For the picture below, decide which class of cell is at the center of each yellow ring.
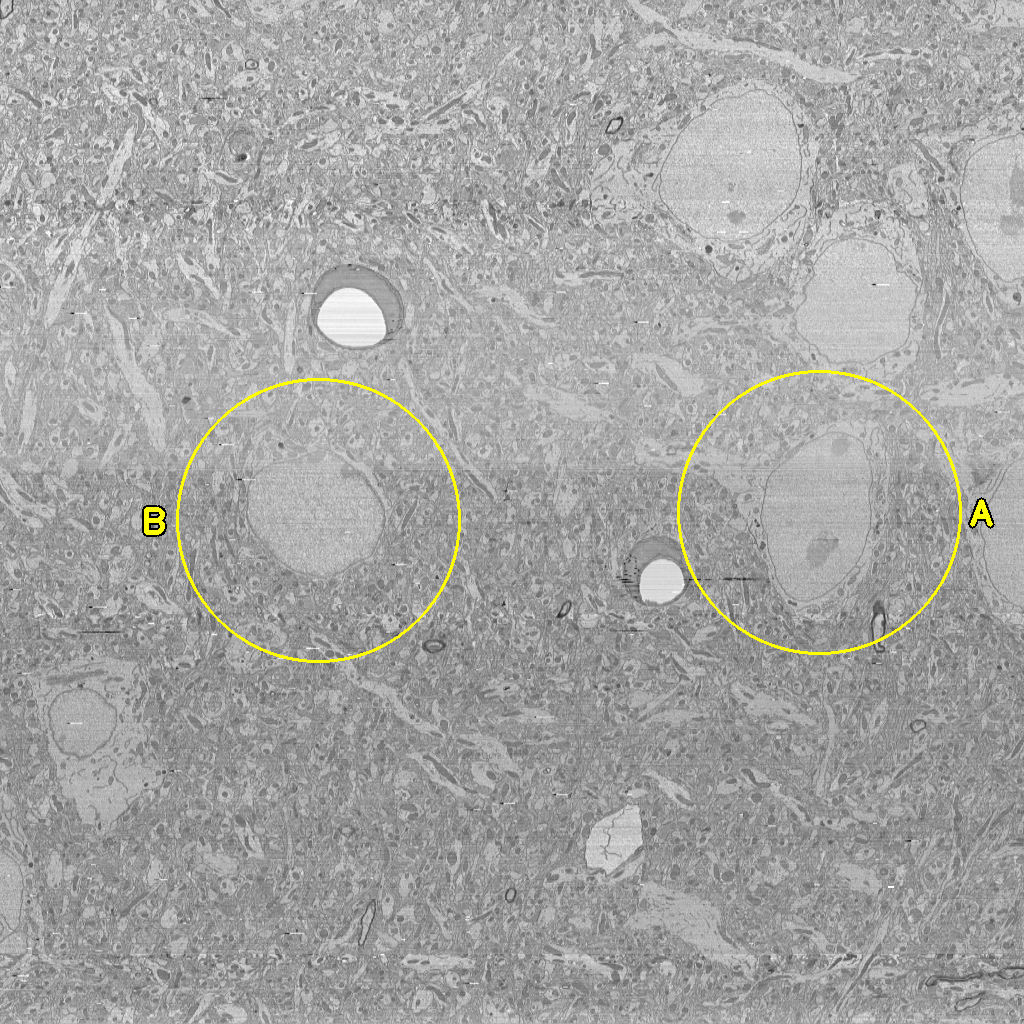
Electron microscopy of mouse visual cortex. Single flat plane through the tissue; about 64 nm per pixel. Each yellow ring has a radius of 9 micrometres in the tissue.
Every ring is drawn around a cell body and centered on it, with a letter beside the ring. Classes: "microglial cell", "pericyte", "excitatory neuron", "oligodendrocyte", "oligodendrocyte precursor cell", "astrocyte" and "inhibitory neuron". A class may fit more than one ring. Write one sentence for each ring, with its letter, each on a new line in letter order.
Centered in ring A is an excitatory neuron.
Centered in ring B is an astrocyte.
